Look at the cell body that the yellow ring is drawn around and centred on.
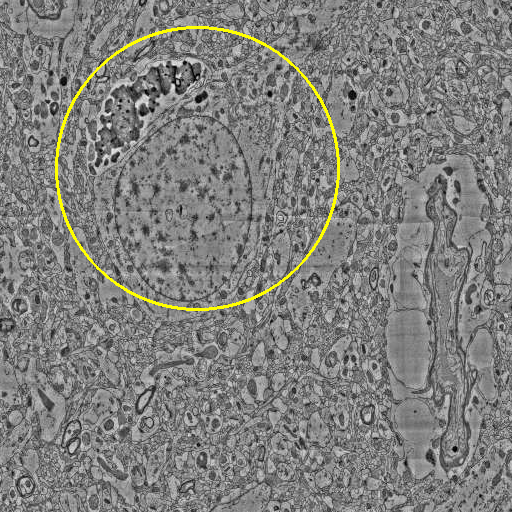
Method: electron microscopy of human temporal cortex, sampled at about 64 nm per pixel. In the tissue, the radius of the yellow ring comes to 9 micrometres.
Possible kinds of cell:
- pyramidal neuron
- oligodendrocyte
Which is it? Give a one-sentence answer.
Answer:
The centred cell body is that of a pyramidal neuron.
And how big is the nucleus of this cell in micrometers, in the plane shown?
The nucleus appears roughly 12 by 9 micrometres in this plane.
